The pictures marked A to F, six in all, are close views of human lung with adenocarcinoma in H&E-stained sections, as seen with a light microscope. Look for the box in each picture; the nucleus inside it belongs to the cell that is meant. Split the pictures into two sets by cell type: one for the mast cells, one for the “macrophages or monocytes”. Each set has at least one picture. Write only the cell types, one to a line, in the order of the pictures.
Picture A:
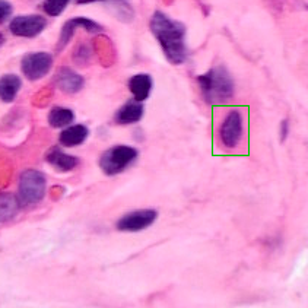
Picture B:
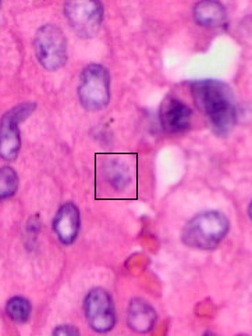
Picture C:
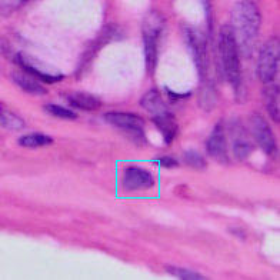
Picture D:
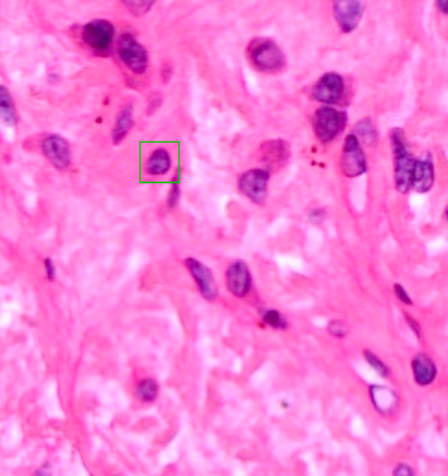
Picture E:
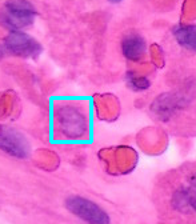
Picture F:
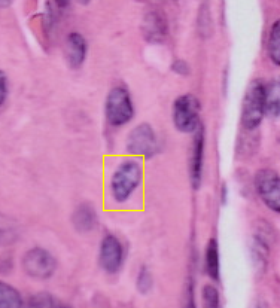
mast cell
macrophage or monocyte
mast cell
mast cell
macrophage or monocyte
mast cell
